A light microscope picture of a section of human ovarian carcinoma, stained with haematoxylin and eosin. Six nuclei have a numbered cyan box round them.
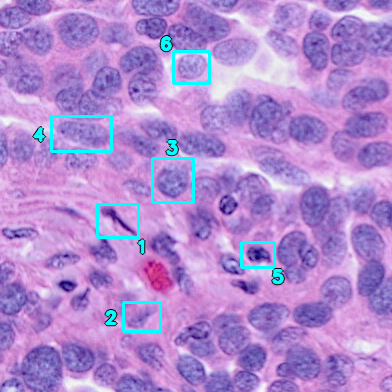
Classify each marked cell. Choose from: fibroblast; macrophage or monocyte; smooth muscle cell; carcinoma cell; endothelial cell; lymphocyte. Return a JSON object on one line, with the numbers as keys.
{"1": "fibroblast", "2": "fibroblast", "3": "carcinoma cell", "4": "carcinoma cell", "5": "lymphocyte", "6": "carcinoma cell"}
